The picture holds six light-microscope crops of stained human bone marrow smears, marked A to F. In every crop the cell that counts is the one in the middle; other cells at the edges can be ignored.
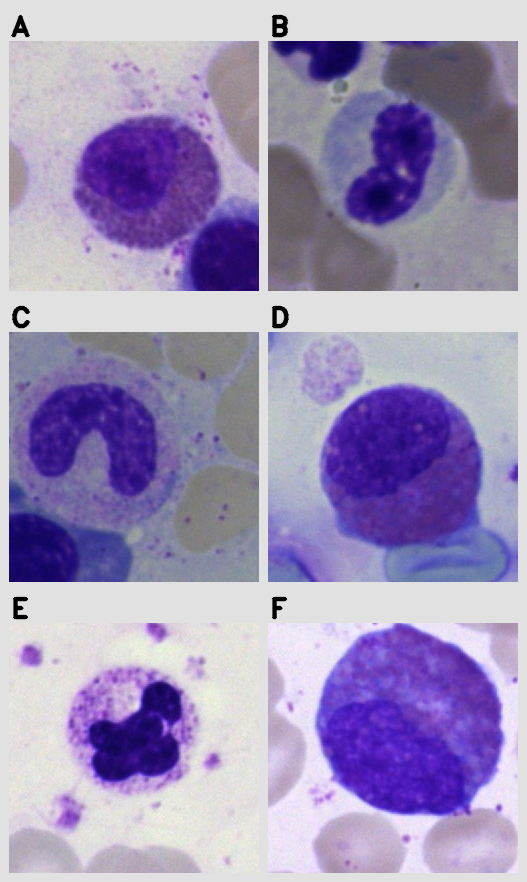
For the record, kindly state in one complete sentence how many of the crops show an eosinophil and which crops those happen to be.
Exactly three crops show eosinophils, and these are A, D and F.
